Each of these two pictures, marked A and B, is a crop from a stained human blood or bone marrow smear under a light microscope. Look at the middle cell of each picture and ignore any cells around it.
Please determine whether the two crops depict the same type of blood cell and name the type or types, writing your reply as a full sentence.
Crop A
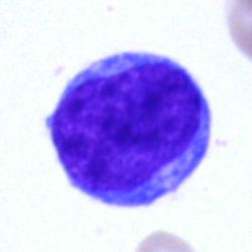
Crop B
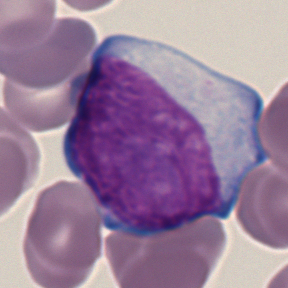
Yes, in both of the crops, the central cells are blasts.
